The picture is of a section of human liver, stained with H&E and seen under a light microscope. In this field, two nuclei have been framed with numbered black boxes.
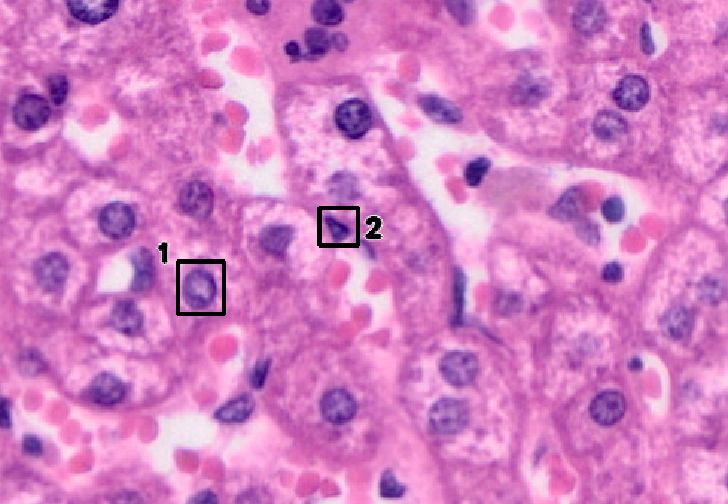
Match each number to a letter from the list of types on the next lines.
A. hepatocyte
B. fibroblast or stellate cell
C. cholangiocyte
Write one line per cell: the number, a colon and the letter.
1: A
2: B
